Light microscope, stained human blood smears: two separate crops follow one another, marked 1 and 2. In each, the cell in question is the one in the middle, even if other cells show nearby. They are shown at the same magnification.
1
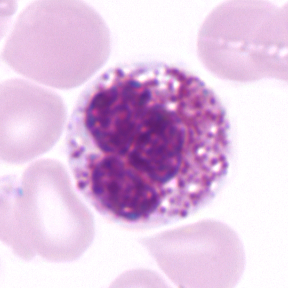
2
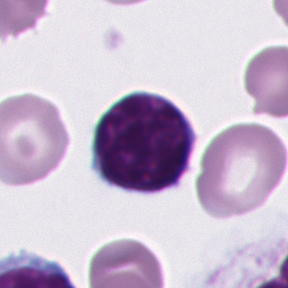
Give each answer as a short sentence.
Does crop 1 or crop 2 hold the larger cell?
The cell in crop 1 is larger, with about 2 times the area of the one in crop 2.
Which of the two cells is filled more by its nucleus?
Of the two, the nucleus in crop 2 makes up the greater part of its cell.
